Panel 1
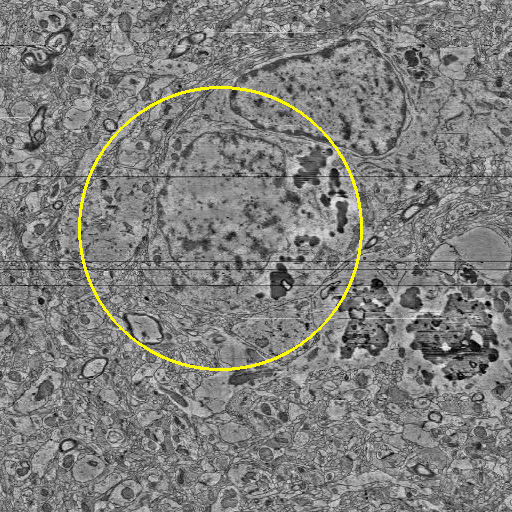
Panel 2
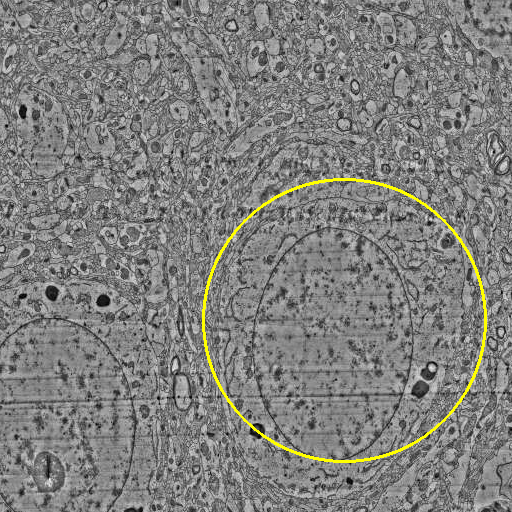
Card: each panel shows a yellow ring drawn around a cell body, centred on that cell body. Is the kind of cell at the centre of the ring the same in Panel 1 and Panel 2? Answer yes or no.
no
